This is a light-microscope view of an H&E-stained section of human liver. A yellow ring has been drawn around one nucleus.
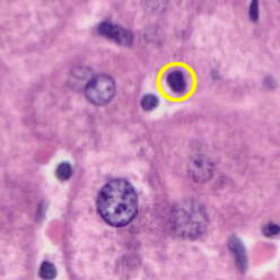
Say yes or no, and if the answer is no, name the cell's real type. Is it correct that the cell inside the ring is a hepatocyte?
No, it is a lymphocyte.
